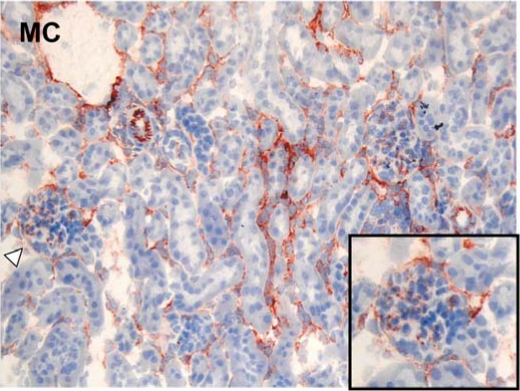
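This is renal cortex showing tubules in cross and longitudinal section, glomeruli and a few vessels. Glomeruli appear as rounded, cell-dense tufts of blue nuclei; the inset shows one with red-brown staining at its edges and within the tuft. The tubules are lined by cuboidal epithelial cells with pale bluish cytoplasm and round nuclei. Red-brown staining follows the narrow interstitial spaces between tubules. A small artery near the top left has a strongly red-stained inner lining, and a large pale lumen lies at the upper left corner.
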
